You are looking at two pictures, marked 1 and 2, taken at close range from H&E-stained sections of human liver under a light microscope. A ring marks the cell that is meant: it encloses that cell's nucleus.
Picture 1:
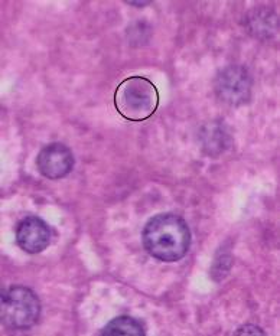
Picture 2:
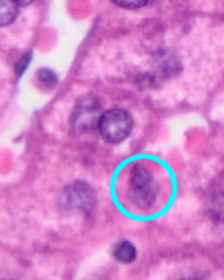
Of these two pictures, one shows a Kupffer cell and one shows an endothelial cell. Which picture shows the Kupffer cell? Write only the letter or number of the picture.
1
